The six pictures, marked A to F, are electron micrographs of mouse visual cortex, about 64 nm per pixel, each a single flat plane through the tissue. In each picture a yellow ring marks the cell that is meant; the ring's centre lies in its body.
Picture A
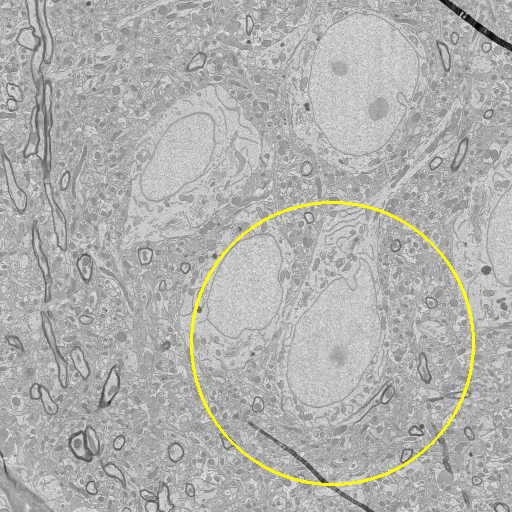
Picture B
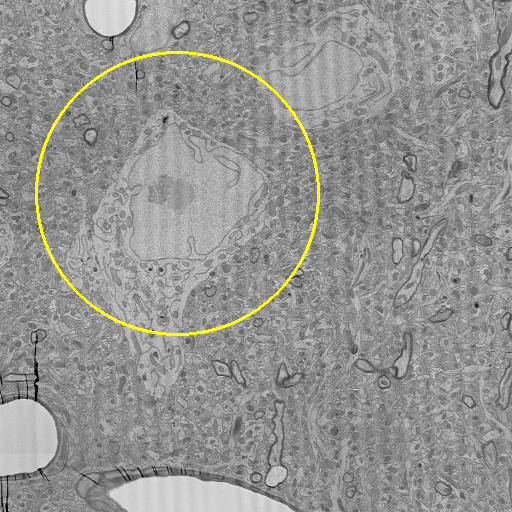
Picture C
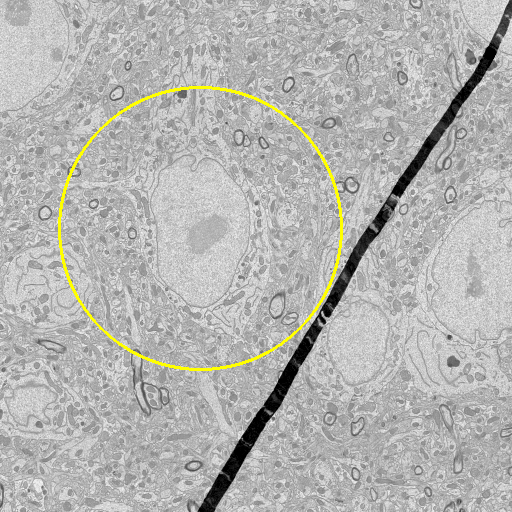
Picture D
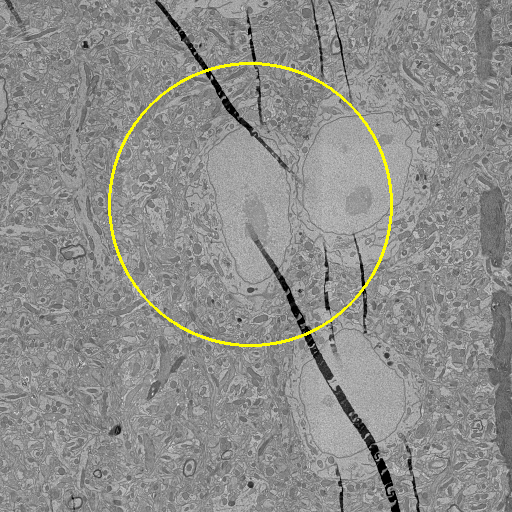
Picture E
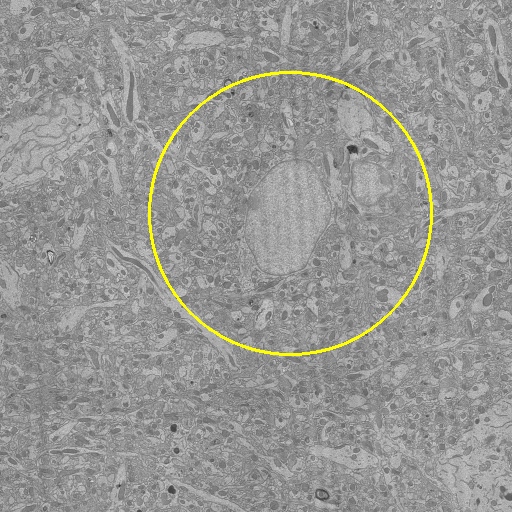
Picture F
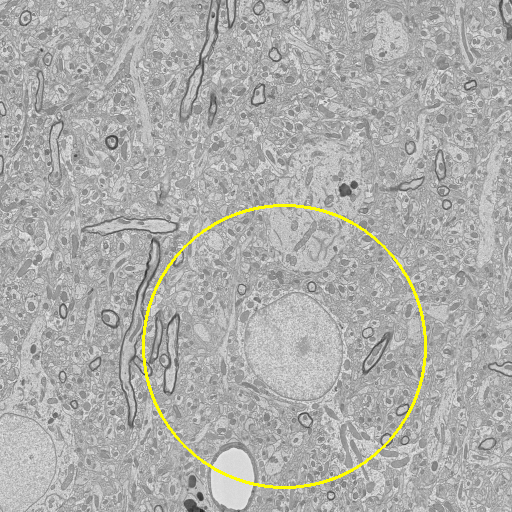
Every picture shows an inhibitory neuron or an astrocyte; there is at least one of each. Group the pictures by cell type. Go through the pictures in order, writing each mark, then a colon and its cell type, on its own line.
A: inhibitory neuron
B: inhibitory neuron
C: inhibitory neuron
D: inhibitory neuron
E: astrocyte
F: astrocyte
